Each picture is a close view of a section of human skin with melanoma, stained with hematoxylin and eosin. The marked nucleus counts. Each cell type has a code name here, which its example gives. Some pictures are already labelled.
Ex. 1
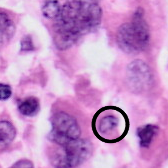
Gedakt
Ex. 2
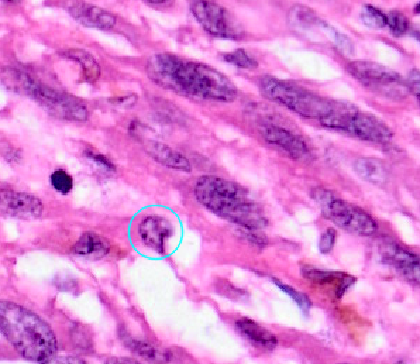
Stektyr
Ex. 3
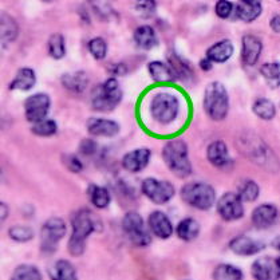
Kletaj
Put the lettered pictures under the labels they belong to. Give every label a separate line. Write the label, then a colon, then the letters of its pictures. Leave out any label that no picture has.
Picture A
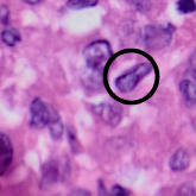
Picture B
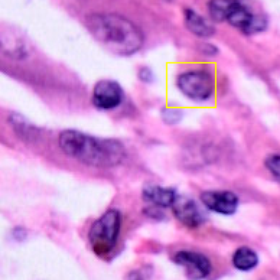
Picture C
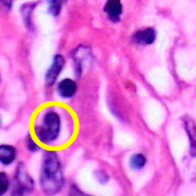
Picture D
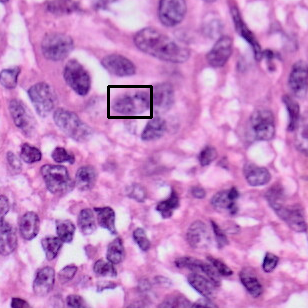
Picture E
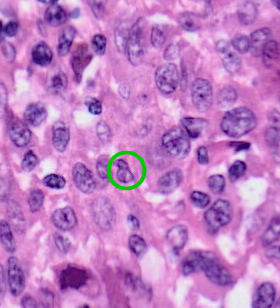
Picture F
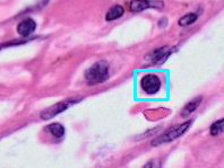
Gedakt: A, B, E
Stektyr: D
Kletaj: C, F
